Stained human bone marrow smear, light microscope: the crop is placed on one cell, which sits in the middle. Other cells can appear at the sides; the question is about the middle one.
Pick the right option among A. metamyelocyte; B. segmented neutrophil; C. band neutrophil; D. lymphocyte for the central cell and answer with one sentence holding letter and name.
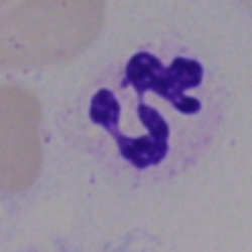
It is a segmented neutrophil that occupies the centre of the crop, so option B is correct.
